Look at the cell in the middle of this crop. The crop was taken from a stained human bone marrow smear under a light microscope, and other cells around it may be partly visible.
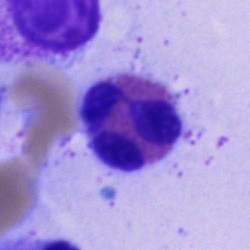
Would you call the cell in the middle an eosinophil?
yes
